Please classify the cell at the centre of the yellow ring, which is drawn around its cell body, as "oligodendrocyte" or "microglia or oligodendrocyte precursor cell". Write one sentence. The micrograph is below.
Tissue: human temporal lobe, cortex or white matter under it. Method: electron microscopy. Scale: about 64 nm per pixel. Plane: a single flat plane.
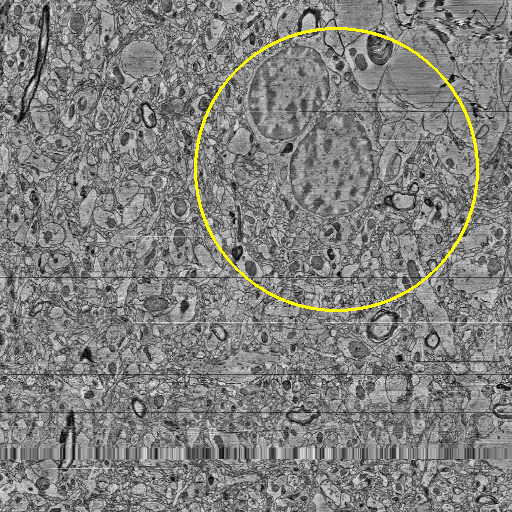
The cell at the ring's centre is classified as an oligodendrocyte.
